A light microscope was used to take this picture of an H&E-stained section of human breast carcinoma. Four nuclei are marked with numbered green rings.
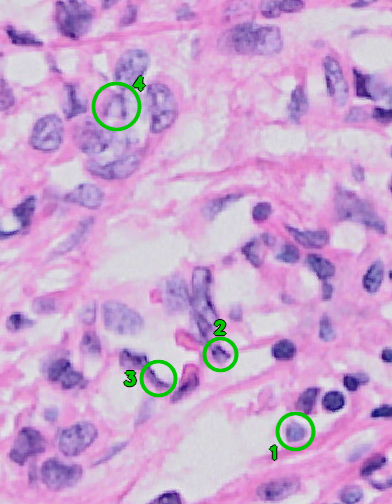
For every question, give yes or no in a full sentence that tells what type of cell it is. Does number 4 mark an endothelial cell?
No, sorry, the cell labelled 4 is not an endothelial cell; it is a carcinoma cell.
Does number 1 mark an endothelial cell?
No, number 1 is not an endothelial cell but a lymphocyte.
